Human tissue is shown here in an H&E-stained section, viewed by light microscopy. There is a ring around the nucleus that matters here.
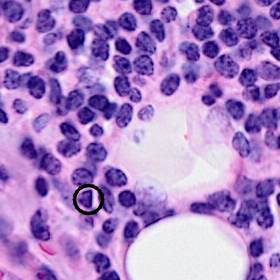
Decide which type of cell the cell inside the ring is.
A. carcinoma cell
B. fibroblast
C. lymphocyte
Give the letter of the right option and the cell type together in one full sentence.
The correct response is option C: the cell inside the ring is a lymphocyte.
